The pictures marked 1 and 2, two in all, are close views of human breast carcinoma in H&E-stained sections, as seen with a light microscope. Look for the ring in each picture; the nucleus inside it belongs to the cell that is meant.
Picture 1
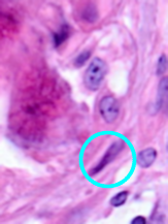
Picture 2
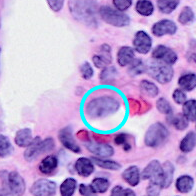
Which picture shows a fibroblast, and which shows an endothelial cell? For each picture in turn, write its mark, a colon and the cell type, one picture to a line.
1: fibroblast
2: endothelial cell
